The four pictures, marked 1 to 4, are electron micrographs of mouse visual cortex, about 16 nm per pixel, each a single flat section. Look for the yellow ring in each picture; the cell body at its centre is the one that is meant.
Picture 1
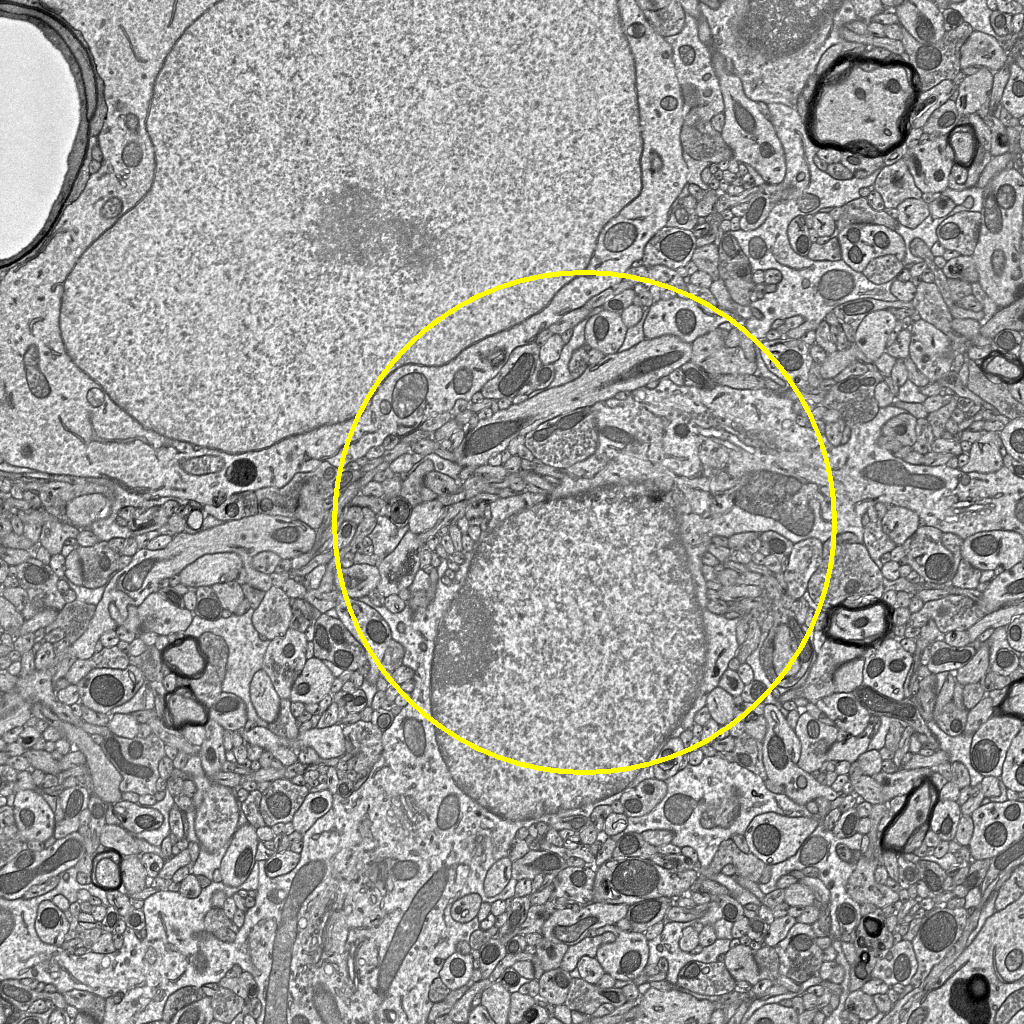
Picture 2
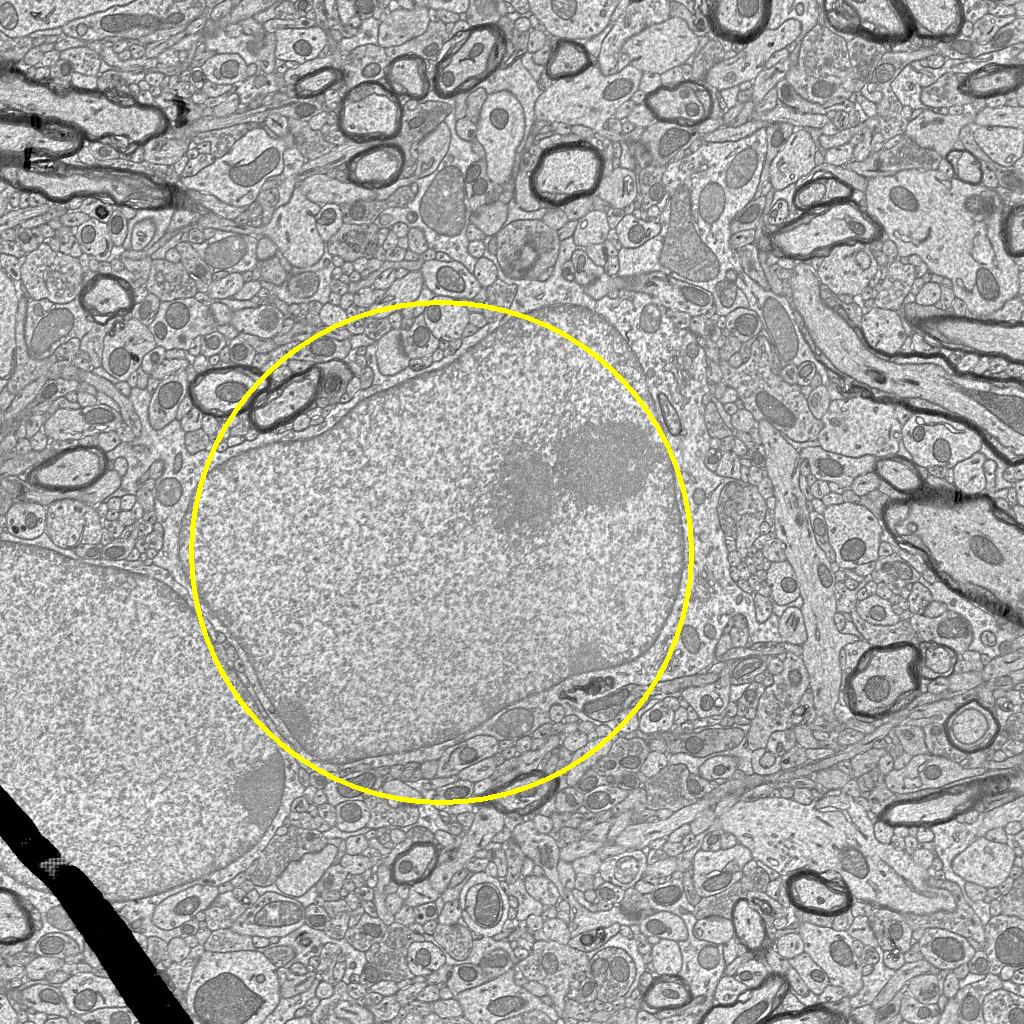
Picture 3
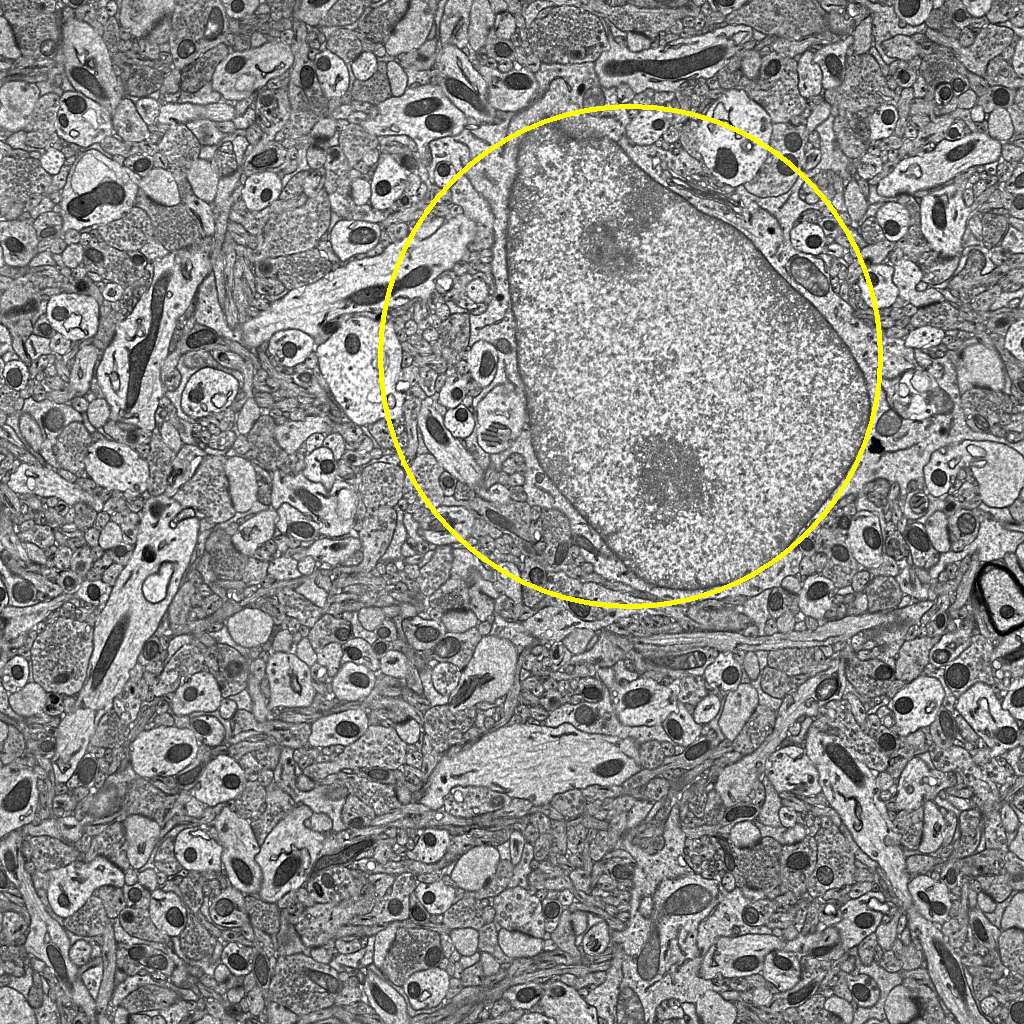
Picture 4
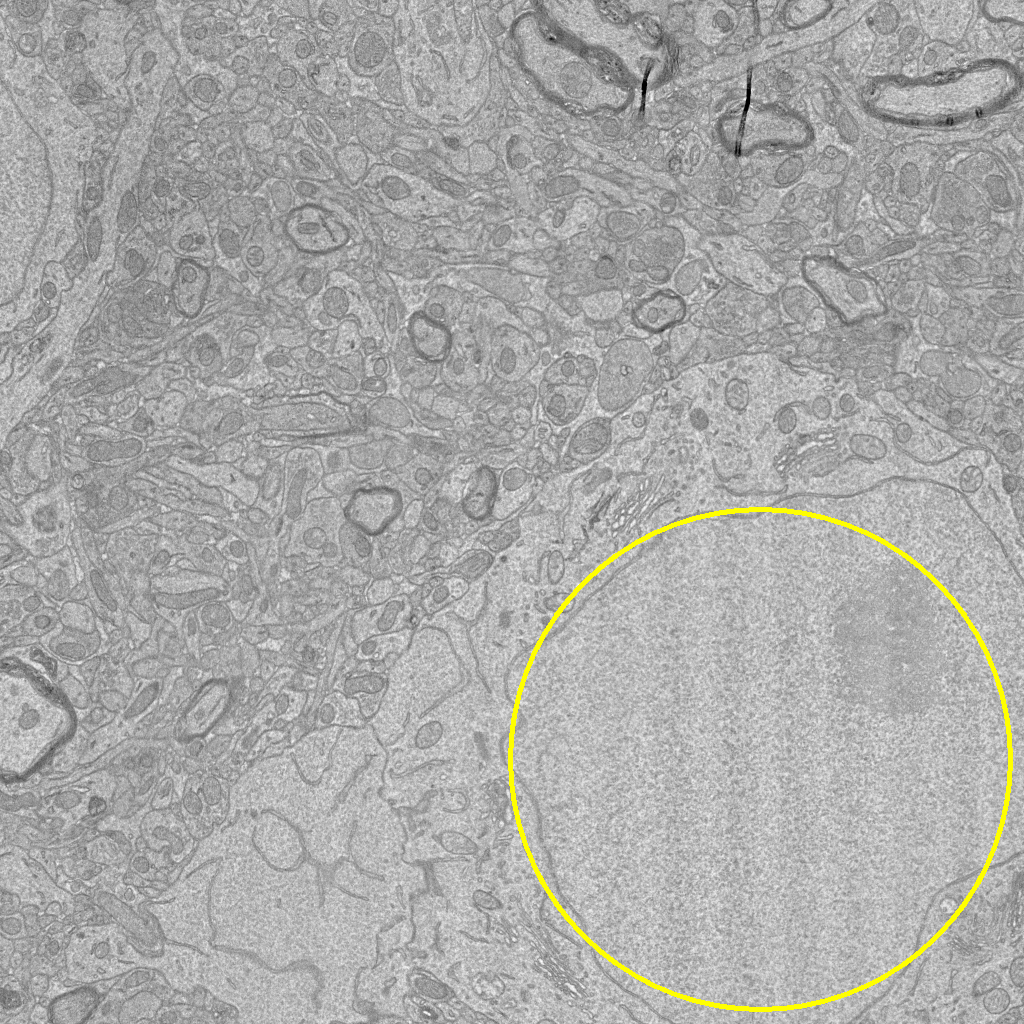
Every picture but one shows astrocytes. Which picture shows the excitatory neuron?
The picture with the excitatory neuron is 4.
